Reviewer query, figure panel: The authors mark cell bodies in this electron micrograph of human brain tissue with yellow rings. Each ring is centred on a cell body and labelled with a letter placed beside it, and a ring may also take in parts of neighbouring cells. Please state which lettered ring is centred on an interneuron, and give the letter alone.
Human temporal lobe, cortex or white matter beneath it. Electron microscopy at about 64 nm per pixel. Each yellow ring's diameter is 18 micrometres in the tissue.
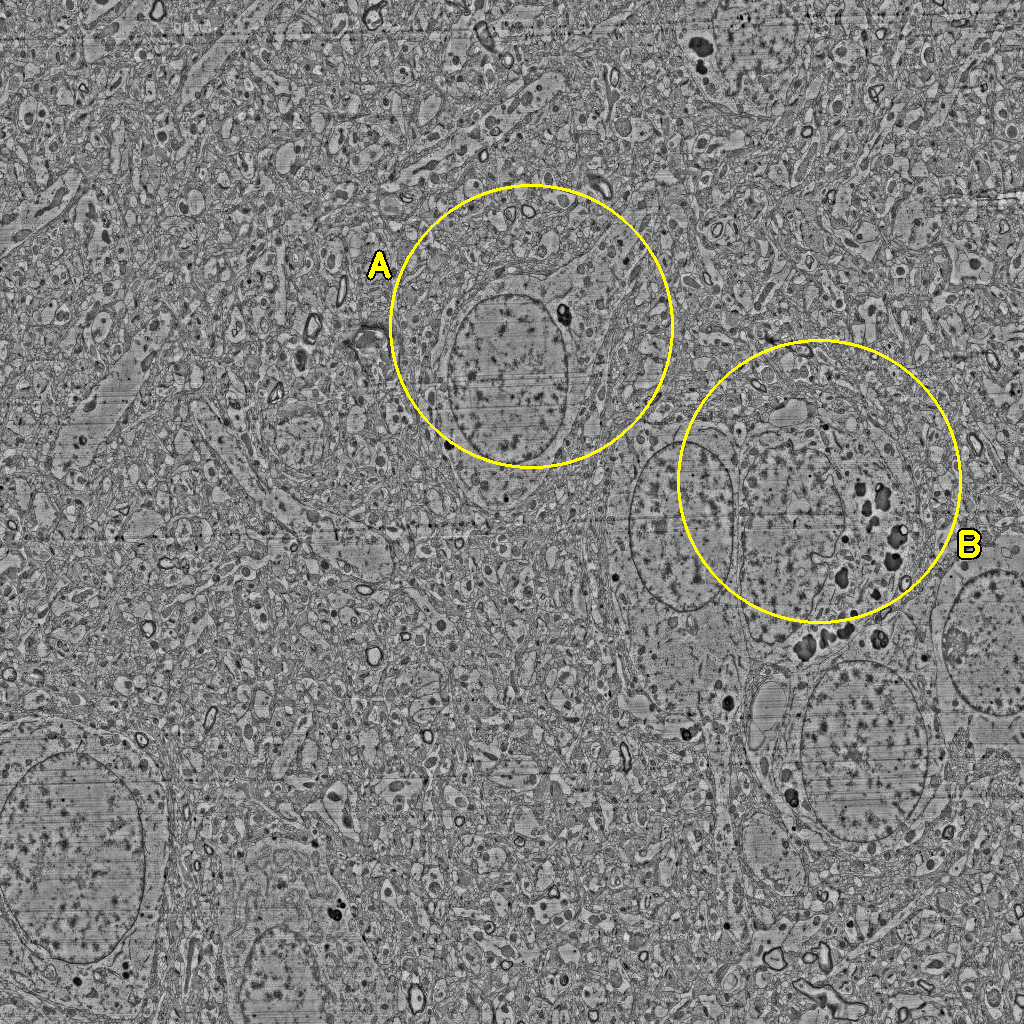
B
